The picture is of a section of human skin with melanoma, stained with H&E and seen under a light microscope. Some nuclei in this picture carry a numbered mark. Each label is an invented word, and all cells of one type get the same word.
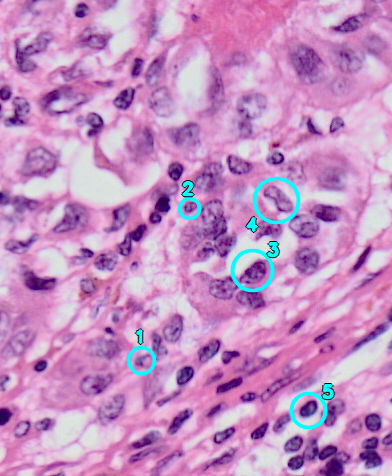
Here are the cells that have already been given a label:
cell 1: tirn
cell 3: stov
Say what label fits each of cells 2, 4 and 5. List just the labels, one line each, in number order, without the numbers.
tirn
stov
tirn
